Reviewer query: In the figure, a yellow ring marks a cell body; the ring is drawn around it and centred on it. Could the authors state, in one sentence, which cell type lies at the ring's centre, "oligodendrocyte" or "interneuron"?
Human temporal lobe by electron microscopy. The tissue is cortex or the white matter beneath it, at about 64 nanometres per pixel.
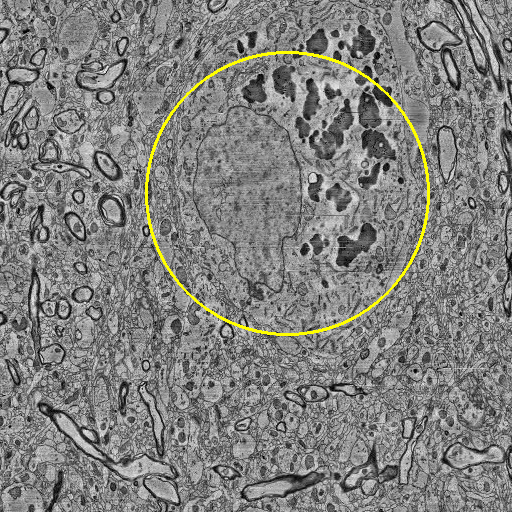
The ring is centred on an interneuron.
